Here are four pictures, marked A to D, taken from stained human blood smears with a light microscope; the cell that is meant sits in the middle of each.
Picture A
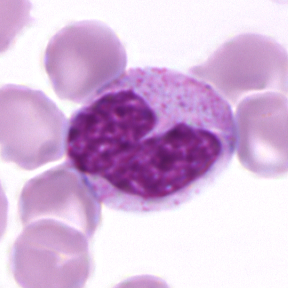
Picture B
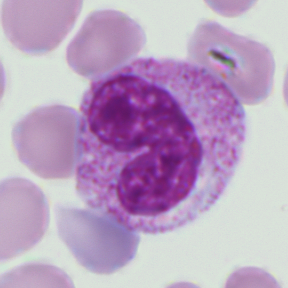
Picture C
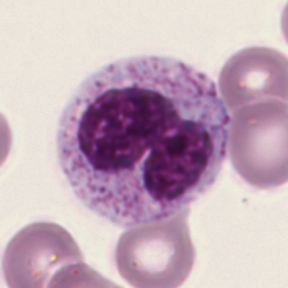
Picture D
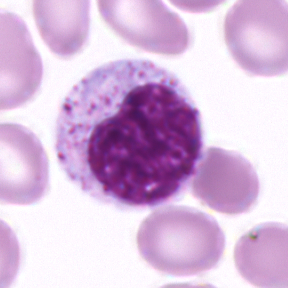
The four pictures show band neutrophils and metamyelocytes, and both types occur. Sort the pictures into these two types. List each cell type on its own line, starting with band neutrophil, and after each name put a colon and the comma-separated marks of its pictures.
band neutrophil: A, B, C
metamyelocyte: D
